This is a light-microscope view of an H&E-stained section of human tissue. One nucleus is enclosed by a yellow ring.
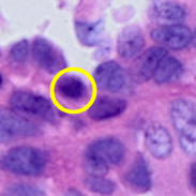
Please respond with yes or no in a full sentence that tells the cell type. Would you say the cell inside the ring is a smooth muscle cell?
No, the cell inside the ring is put down as a carcinoma cell, not as a smooth muscle cell.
